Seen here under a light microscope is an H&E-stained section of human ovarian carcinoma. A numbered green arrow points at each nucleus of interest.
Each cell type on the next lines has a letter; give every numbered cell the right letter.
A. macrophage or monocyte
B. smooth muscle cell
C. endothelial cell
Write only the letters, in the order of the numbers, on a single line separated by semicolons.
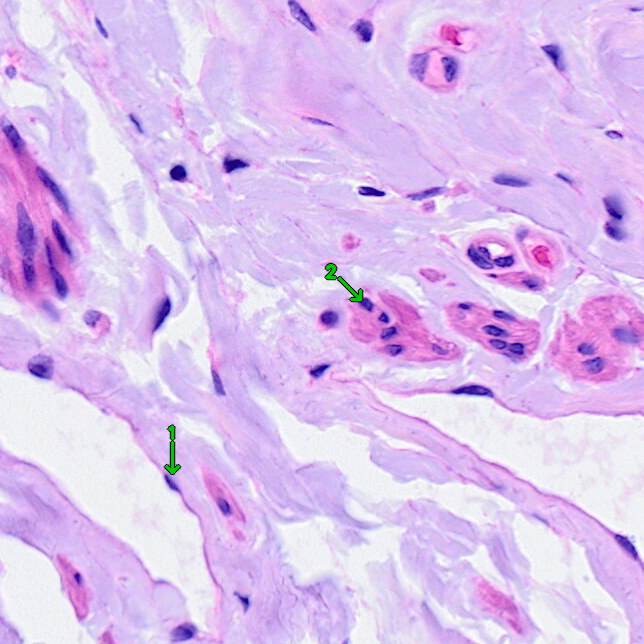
C; B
